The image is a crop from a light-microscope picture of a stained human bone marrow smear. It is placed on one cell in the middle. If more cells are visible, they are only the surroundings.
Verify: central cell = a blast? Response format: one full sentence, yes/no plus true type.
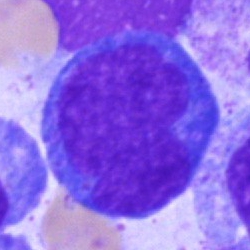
Yes, the cell in the middle of the view is a blast.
